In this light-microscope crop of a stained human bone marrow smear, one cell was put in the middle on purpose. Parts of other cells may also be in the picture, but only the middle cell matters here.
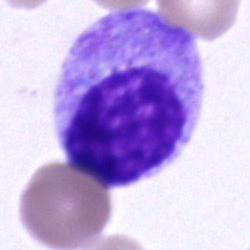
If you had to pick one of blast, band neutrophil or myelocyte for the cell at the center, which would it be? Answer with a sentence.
Regarding the central cell, it is a myelocyte.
